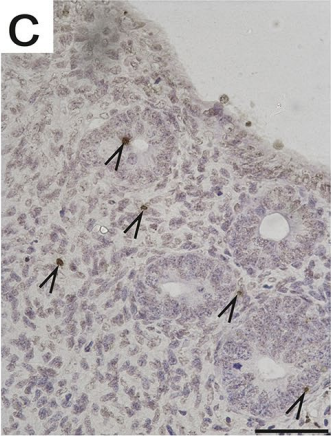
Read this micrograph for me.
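A few single cells stand out as small, dense, dark brown dots, some within the tubular linings and some in the surrounding loose tissue. Most nuclei are unlabelled and only lightly counterstained.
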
